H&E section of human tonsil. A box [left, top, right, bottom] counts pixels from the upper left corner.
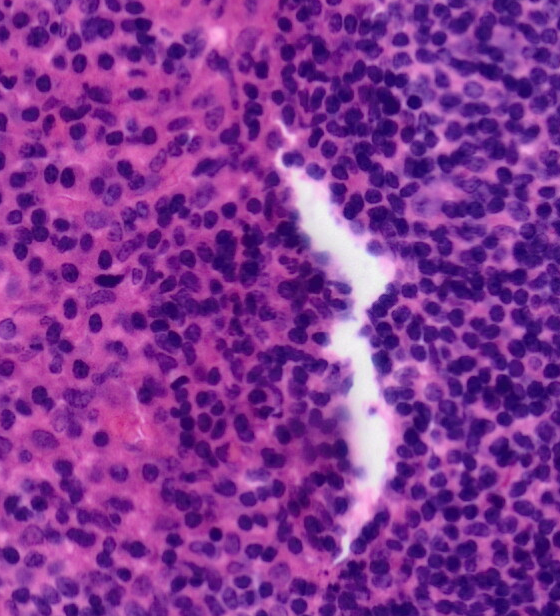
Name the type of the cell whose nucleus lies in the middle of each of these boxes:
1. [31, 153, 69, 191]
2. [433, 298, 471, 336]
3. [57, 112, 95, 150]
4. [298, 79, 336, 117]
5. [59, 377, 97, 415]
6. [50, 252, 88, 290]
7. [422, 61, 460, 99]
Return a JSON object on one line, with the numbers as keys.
{"1": "plasma cell", "2": "small lymphocyte", "3": "plasma cell", "4": "small lymphocyte", "5": "squamous epithelial cell", "6": "plasma cell", "7": "small lymphocyte"}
